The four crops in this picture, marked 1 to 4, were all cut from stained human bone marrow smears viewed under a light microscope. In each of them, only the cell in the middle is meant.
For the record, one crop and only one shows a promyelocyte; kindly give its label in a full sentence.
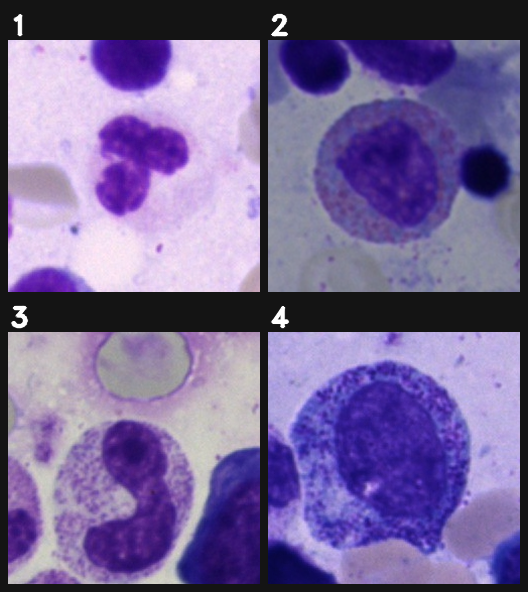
The crop with a promyelocyte at its center is crop 4.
